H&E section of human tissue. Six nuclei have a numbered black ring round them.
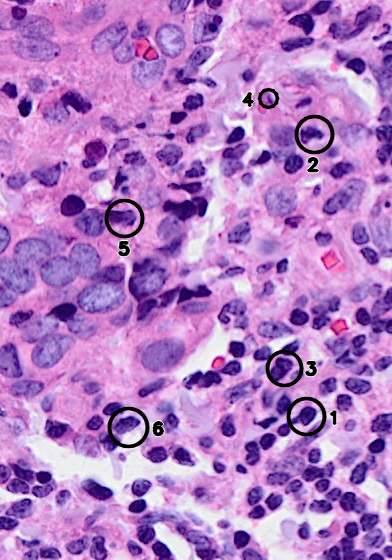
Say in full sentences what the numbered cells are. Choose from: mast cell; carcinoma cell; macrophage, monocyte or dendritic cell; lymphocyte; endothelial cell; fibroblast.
Cell 1 is a lymphocyte, cell 2 is a lymphocyte, cell 3 is a lymphocyte, cell 4 is an endothelial cell, cell 5 is a carcinoma cell and cell 6 is a lymphocyte.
